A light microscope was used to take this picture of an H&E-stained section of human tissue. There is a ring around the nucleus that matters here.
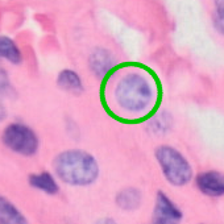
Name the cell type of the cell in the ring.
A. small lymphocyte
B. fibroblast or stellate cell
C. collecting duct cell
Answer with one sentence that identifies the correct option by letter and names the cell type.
Option C matches the cell in the ring, which is a collecting duct cell.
